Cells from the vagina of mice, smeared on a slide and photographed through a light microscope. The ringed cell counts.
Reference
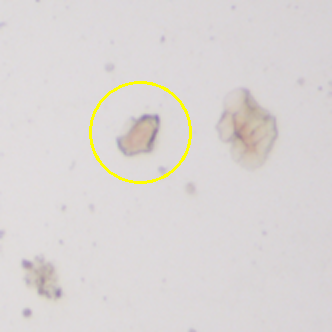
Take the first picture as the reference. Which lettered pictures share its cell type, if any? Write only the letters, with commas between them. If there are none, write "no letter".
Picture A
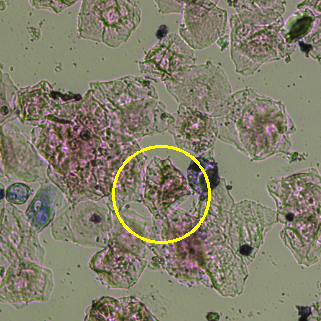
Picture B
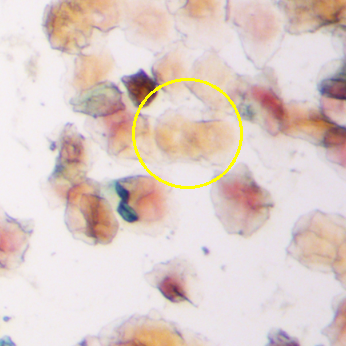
A, B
